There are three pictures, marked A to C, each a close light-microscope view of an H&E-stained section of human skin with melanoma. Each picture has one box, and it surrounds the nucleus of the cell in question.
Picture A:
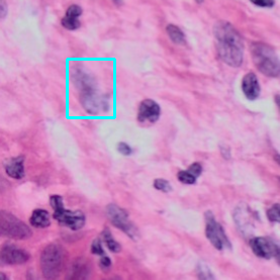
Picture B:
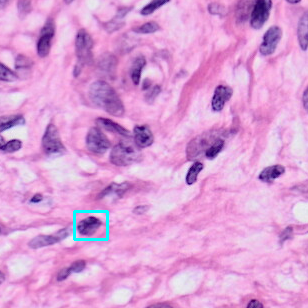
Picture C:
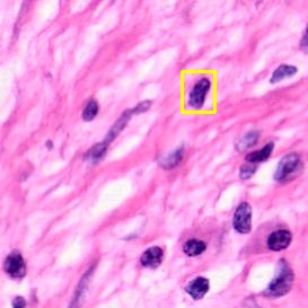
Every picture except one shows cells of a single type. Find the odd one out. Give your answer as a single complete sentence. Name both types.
Picture A is the odd one out: it shows a “fibroblast or myofibroblast”, while the others show lymphocytes.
